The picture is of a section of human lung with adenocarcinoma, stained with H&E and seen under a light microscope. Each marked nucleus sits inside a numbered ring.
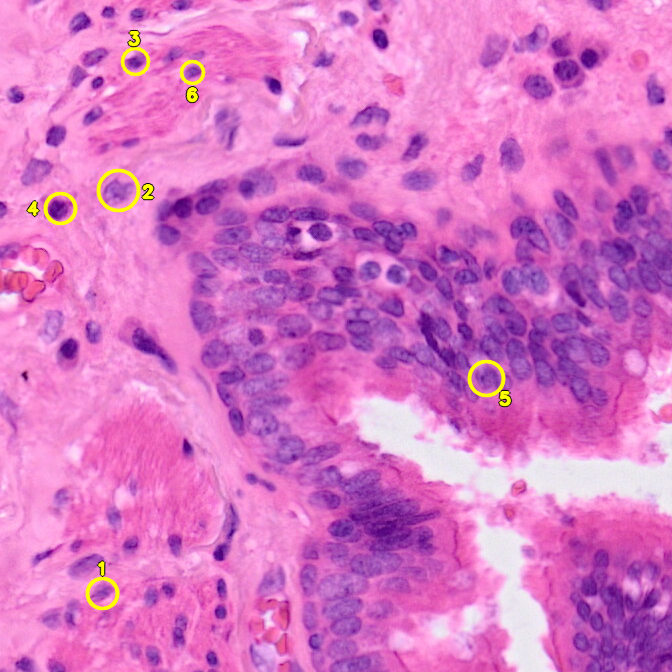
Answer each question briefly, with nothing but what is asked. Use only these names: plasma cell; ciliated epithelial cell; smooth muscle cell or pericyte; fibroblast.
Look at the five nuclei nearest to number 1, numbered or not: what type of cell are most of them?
smooth muscle cell or pericyte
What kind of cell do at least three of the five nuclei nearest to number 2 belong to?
plasma cell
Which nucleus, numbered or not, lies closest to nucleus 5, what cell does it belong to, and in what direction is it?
a ciliated epithelial cell, to the right of nucleus 5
